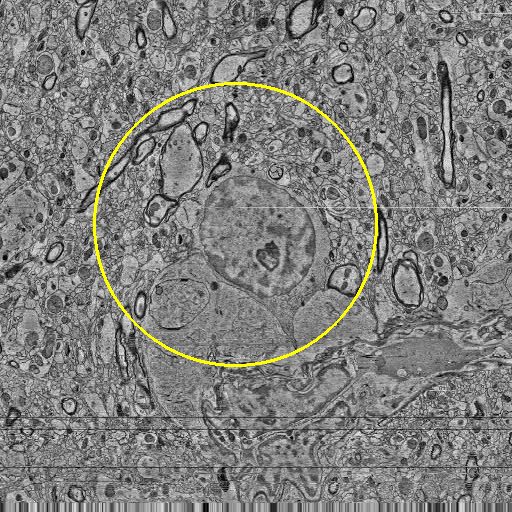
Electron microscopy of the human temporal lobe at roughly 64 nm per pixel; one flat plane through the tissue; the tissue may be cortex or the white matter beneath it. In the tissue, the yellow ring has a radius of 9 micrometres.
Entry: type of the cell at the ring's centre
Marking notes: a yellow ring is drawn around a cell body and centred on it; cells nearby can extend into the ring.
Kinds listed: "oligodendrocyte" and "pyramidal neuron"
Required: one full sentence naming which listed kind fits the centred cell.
My entry names an oligodendrocyte as the cell whose body the yellow ring centres on.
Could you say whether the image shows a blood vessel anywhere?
Yes, a blood vessel can be seen.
